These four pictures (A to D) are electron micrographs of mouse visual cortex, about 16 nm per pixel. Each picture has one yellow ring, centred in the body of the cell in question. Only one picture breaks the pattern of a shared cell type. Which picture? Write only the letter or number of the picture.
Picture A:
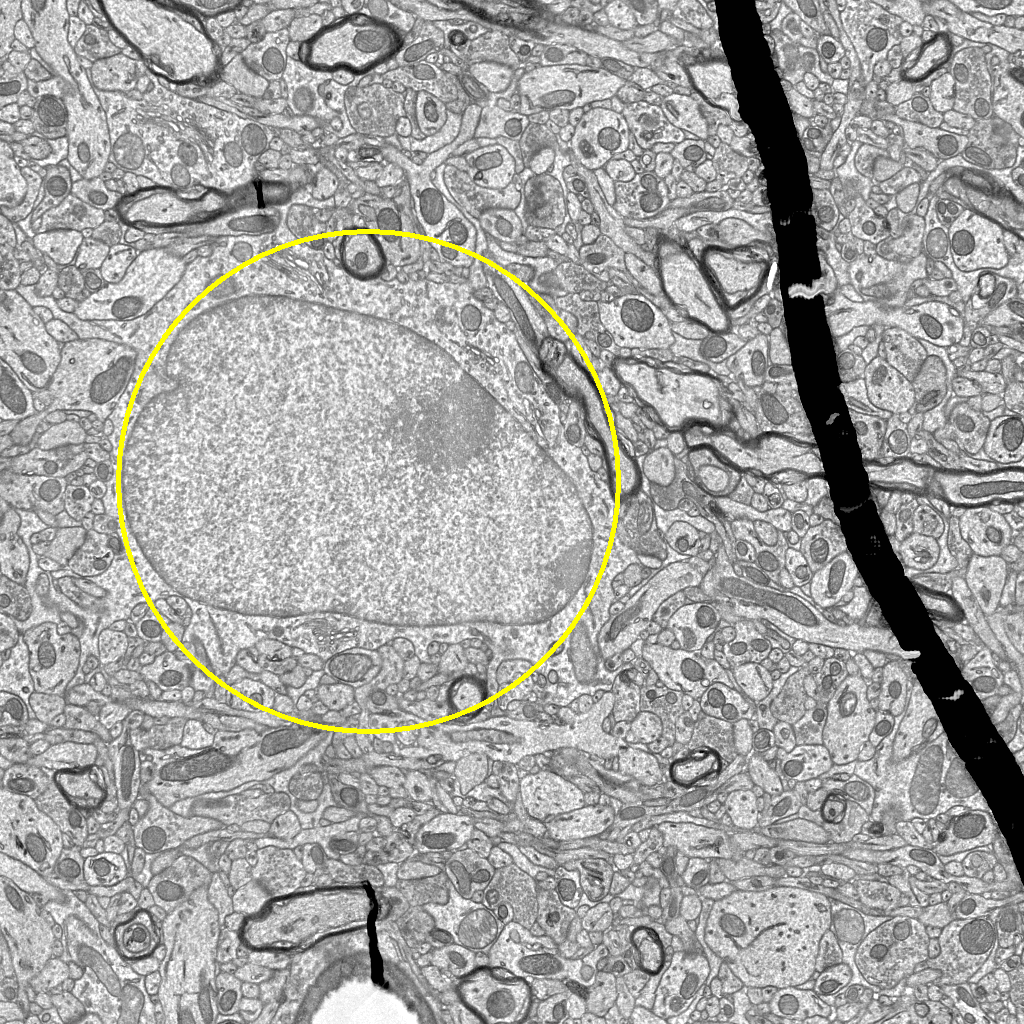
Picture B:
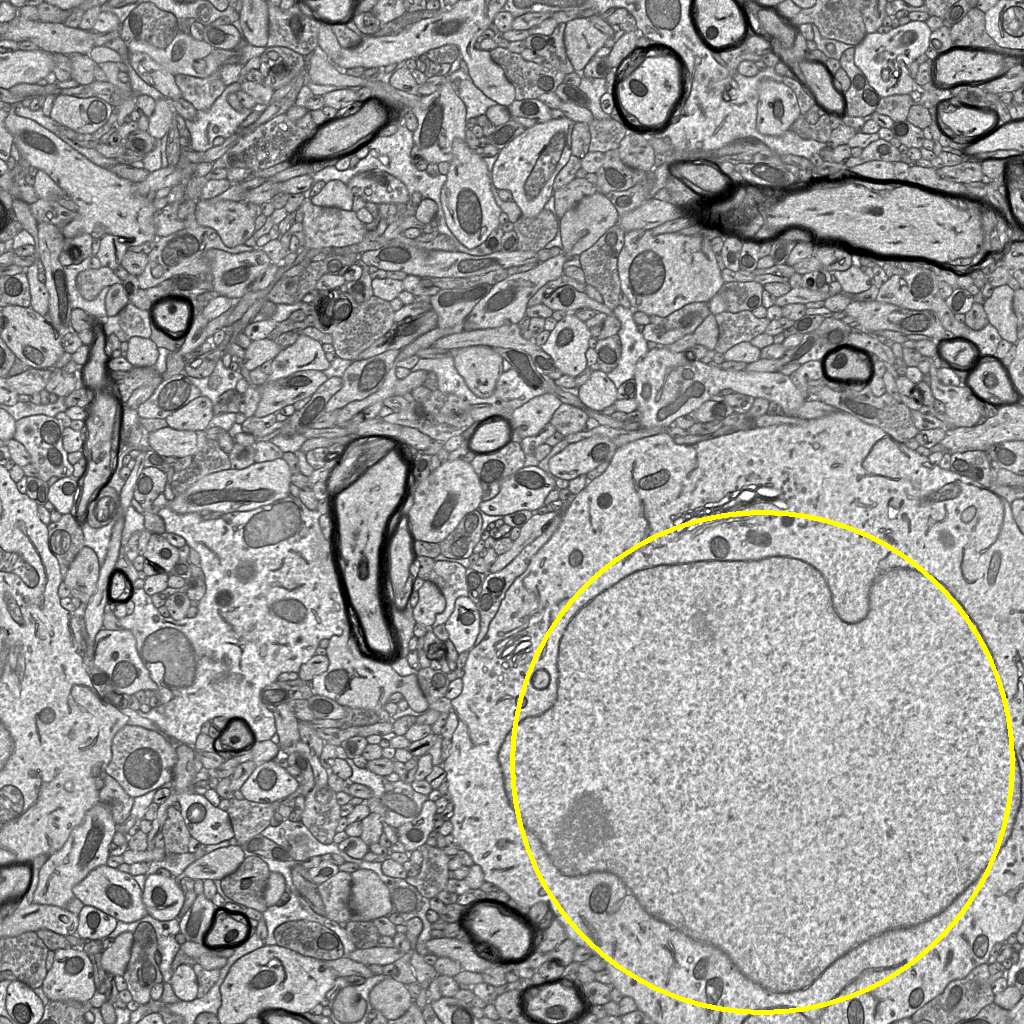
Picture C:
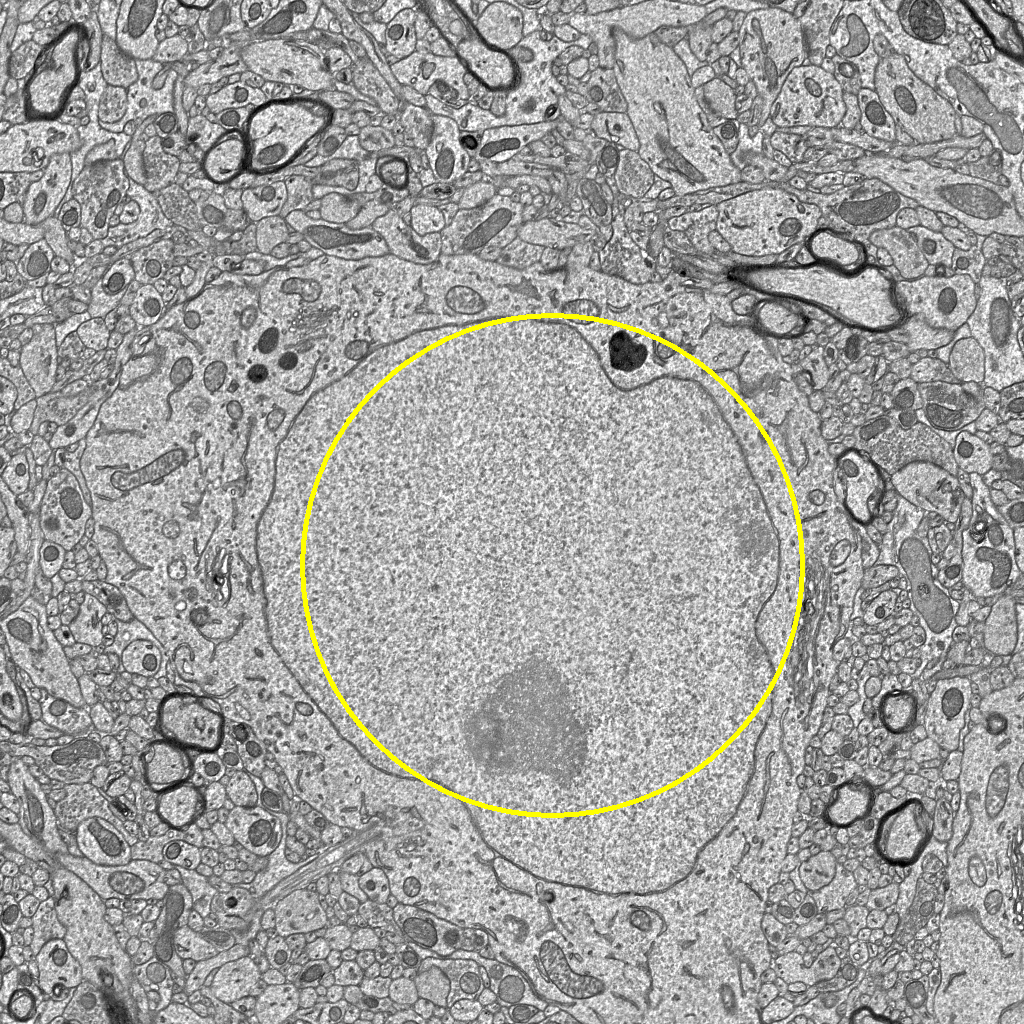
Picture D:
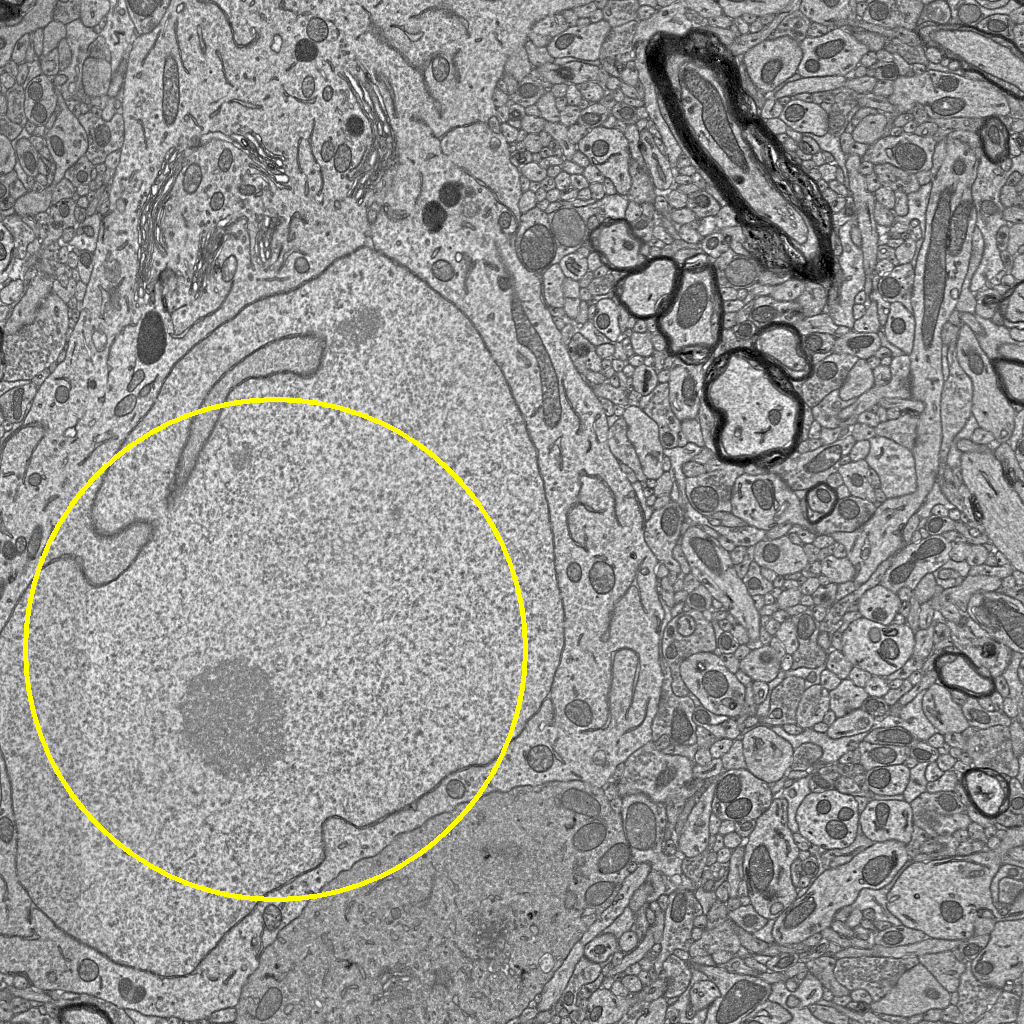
A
